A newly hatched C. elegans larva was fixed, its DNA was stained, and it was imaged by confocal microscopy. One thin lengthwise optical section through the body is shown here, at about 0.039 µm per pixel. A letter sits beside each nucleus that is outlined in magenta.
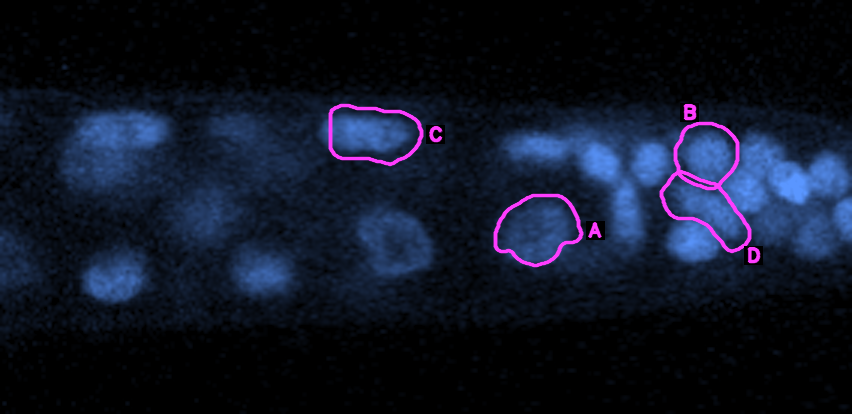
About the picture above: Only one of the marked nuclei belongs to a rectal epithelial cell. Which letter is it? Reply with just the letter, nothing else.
D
